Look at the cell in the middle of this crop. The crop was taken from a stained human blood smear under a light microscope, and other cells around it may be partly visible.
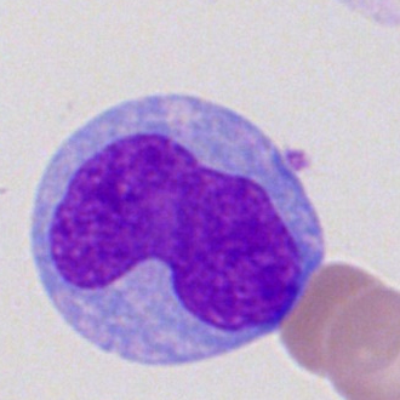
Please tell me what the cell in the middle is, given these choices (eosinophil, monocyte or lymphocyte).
monocyte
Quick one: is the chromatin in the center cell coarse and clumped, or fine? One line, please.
In this cell the chromatin is fine rather than coarsely clumped.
